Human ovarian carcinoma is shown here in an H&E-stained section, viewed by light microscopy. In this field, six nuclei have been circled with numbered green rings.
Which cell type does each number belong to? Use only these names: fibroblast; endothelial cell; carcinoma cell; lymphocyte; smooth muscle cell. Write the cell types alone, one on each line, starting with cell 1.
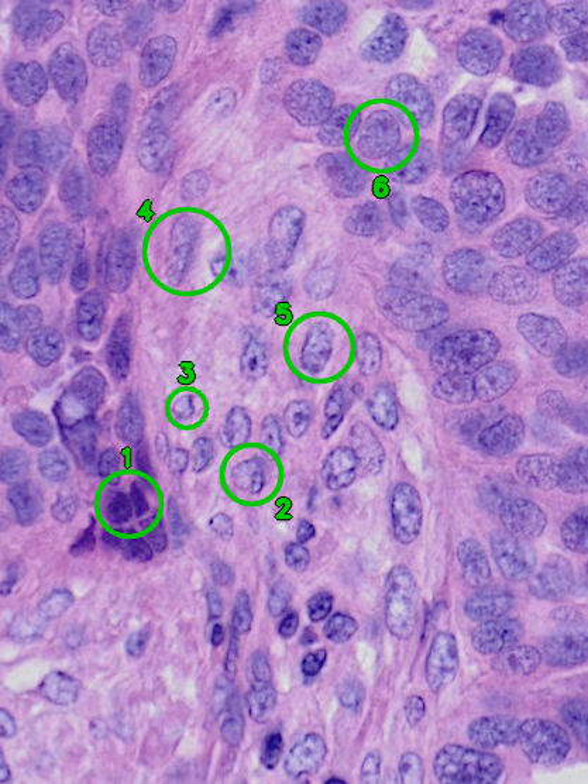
carcinoma cell
fibroblast
fibroblast
fibroblast
fibroblast
carcinoma cell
